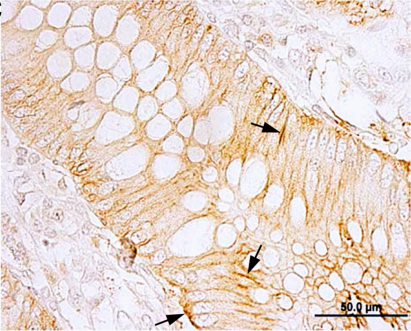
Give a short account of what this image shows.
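A gland of healthy colonic mucosa lined by polarized columnar epithelial cells with many interspersed goblet cells. The goblet cells appear as clear, rounded, empty-looking vacuoles packed within the epithelium. Brown stain forms fine lines along the sides of the columnar cells and is strongest toward their bases, where the epithelium meets the loose pale connective tissue of the lamina propria at the margins. The surrounding connective tissue contains scattered small unstained nuclei.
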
